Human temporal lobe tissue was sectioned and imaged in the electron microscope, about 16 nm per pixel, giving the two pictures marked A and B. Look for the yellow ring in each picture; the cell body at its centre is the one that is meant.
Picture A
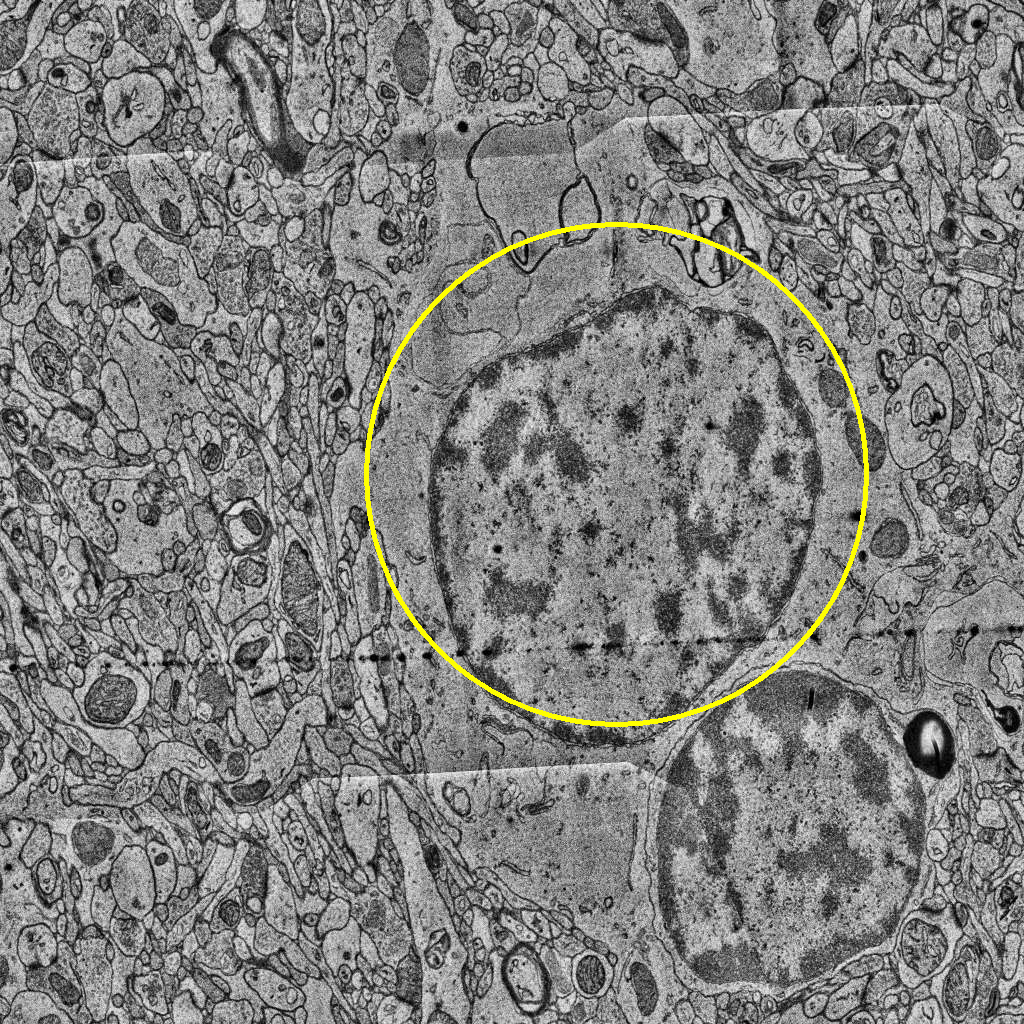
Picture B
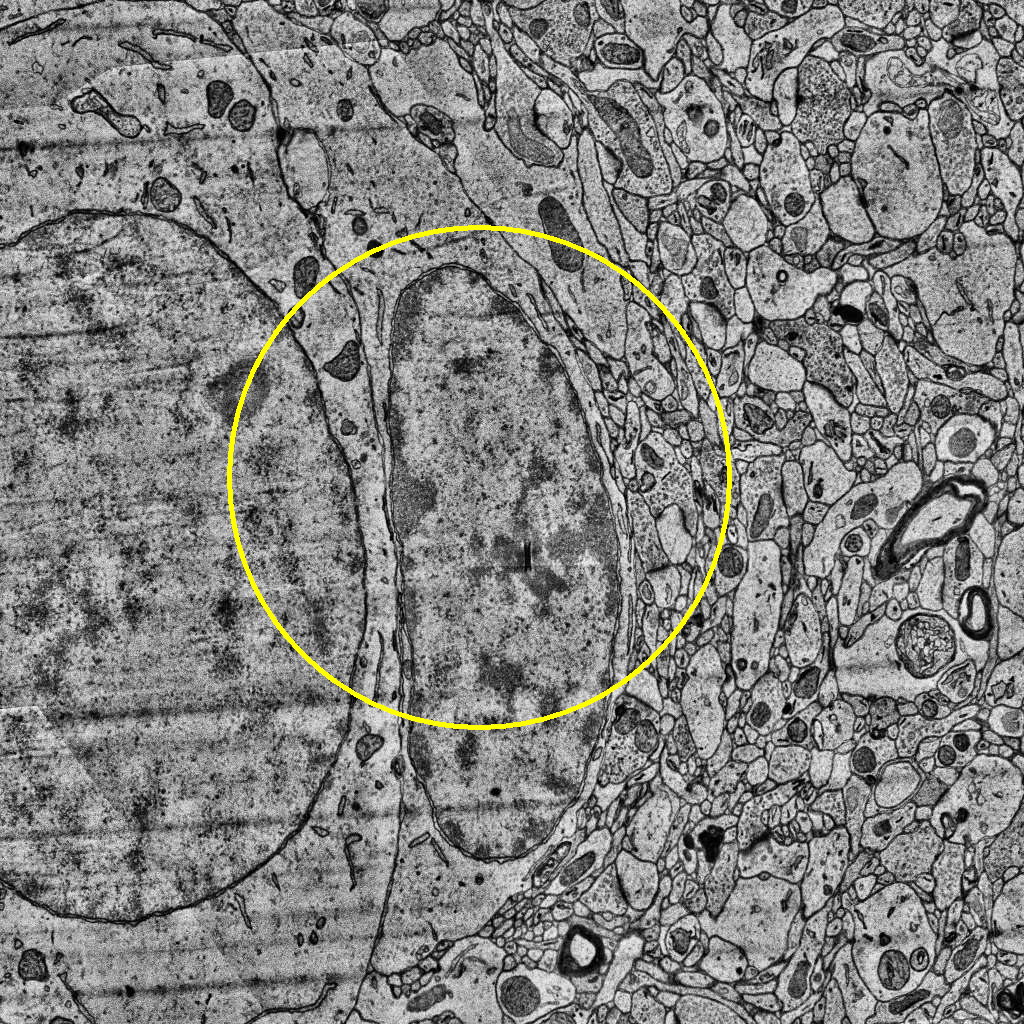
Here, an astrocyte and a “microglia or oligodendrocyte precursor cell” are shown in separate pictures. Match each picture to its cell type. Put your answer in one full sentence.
In picture A the cell is an astrocyte; in picture B, a “microglia or oligodendrocyte precursor cell”.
